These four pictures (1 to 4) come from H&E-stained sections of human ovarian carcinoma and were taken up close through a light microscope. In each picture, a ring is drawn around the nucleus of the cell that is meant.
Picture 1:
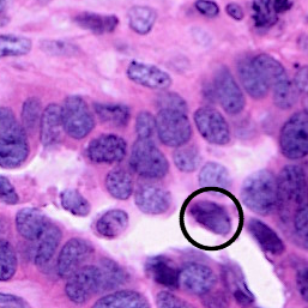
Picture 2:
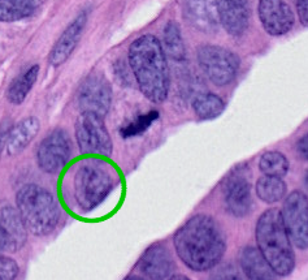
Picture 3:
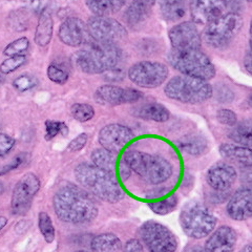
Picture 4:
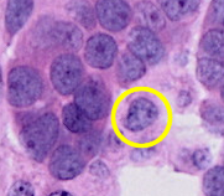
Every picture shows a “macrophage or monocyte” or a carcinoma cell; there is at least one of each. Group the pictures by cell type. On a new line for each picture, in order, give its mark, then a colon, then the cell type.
1: carcinoma cell
2: carcinoma cell
3: carcinoma cell
4: macrophage or monocyte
